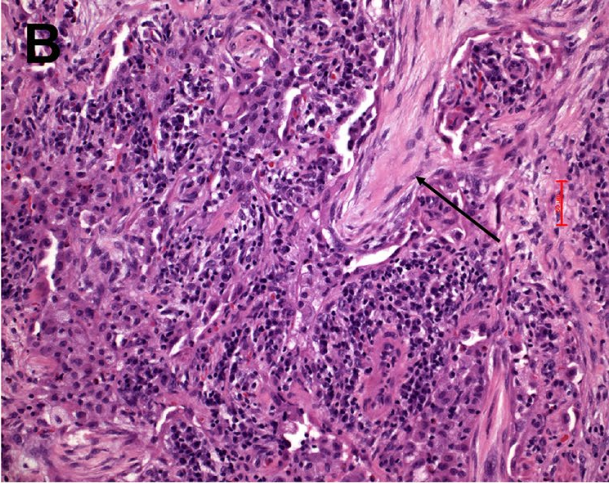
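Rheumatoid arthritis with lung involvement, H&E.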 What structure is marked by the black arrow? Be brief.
Myofibroblastic foci.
